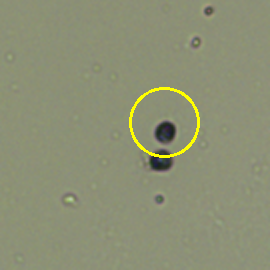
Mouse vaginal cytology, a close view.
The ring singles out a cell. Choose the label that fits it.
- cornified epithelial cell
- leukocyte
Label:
leukocyte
